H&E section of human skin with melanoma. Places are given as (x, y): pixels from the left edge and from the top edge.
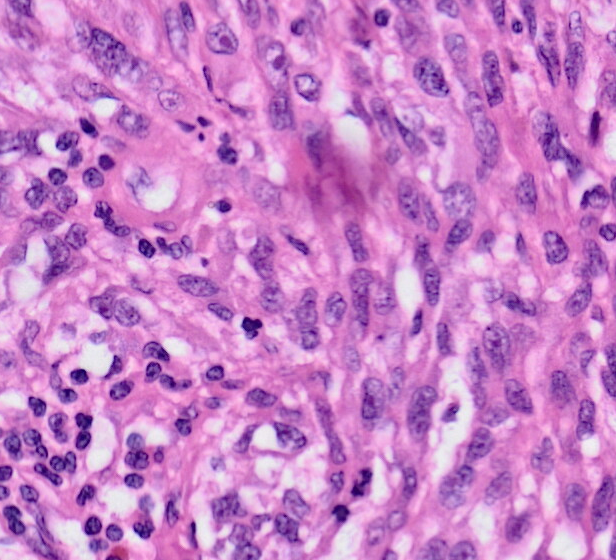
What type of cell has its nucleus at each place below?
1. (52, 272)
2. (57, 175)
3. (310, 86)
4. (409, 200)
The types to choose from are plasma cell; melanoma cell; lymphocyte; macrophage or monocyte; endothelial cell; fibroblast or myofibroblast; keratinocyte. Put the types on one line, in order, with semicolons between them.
melanoma cell; lymphocyte; melanoma cell; melanoma cell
